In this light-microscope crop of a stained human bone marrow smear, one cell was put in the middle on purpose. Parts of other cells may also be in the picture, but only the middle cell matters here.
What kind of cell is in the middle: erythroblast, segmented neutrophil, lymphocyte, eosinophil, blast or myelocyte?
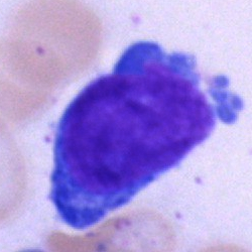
blast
